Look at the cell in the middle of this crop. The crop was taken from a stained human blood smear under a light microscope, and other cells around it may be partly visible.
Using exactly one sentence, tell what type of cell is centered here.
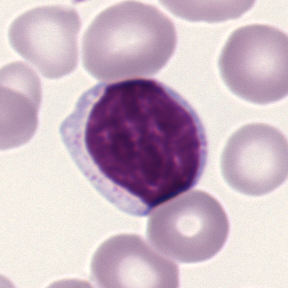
For this crop, the central cell is a large granular lymphocyte.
